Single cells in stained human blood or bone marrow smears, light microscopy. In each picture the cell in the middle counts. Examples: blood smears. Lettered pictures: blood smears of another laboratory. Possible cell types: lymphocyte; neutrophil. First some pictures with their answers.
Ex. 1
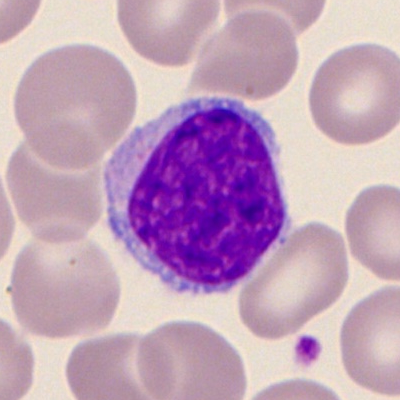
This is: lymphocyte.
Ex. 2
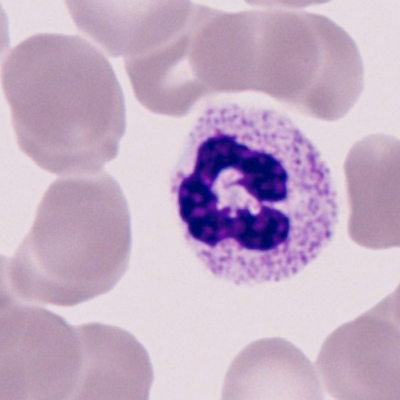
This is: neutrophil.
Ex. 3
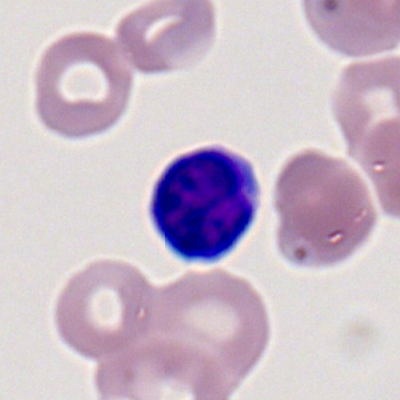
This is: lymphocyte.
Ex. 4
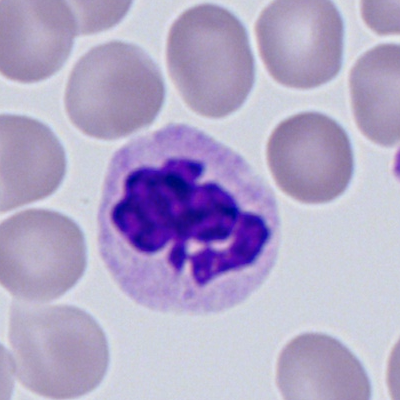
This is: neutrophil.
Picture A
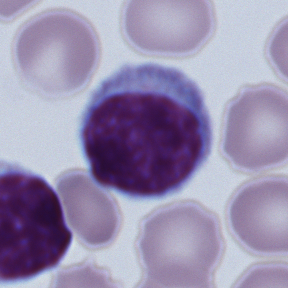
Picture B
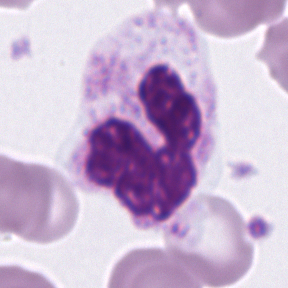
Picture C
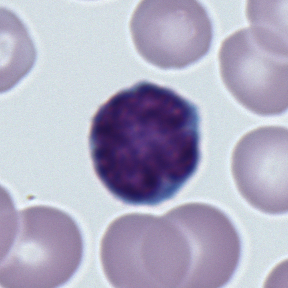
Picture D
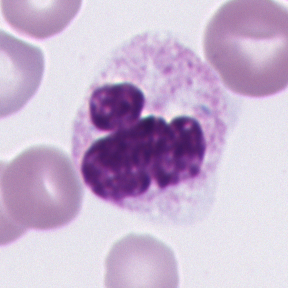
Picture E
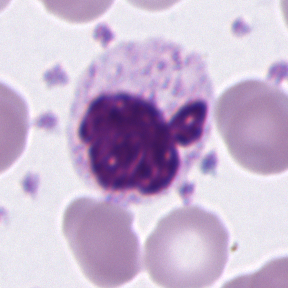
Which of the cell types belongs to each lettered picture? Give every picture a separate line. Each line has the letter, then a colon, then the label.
A: lymphocyte.
B: neutrophil.
C: lymphocyte.
D: neutrophil.
E: neutrophil.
